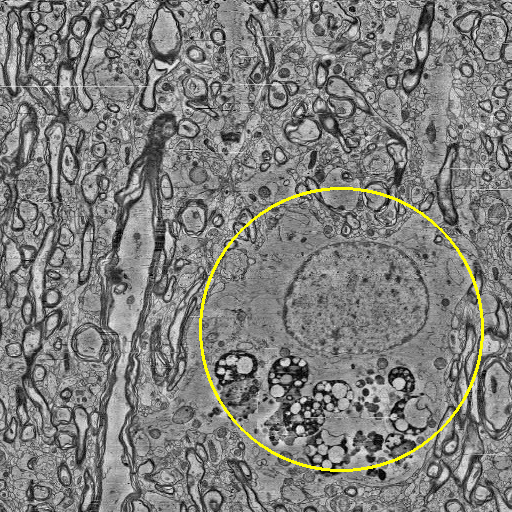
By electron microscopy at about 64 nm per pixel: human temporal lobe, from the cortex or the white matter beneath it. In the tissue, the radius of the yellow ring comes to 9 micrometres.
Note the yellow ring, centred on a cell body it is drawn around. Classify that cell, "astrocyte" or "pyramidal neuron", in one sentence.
The cell the ring is centred on is an astrocyte.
